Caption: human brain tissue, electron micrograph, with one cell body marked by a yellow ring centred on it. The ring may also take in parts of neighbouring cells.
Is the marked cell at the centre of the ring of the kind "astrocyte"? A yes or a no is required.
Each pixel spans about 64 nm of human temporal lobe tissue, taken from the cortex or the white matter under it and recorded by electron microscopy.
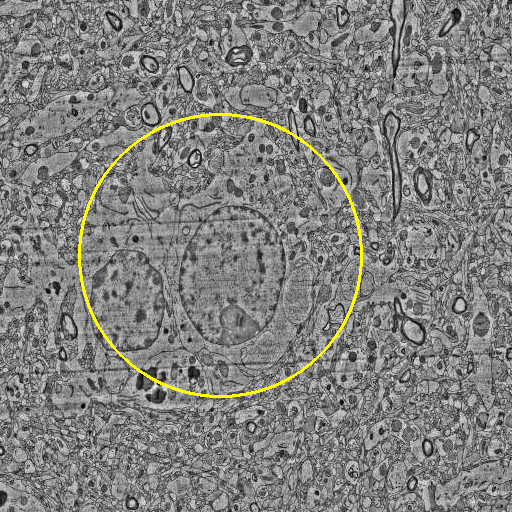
yes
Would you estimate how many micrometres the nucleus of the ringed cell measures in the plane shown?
The nucleus appears roughly 9 by 7 micrometres in this plane.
